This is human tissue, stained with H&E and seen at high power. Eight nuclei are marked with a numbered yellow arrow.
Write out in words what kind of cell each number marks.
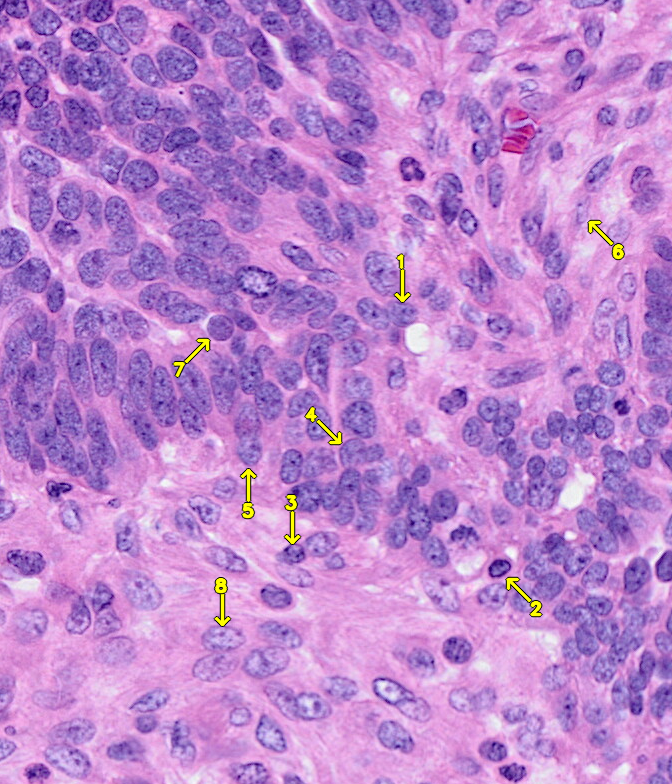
Cell 1 is a carcinoma cell, cell 2 is a macrophage or monocyte, cell 3 is a macrophage or monocyte, cell 4 is a carcinoma cell, cell 5 is a carcinoma cell, cell 6 is a fibroblast, cell 7 is a carcinoma cell and cell 8 is a fibroblast.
